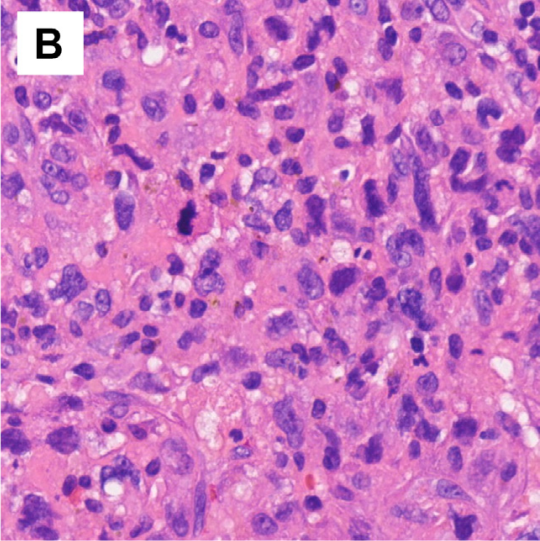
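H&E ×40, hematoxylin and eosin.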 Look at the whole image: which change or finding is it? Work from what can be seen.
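Nuclei vary widely in size and shape. Many nuclei are large and darkly stained. Some nuclei show prominent nucleoli.
Answer: large, pleomorphic nuclei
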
